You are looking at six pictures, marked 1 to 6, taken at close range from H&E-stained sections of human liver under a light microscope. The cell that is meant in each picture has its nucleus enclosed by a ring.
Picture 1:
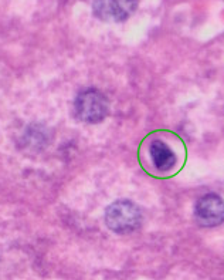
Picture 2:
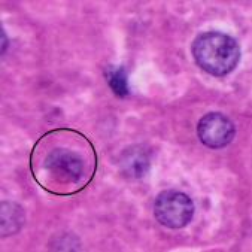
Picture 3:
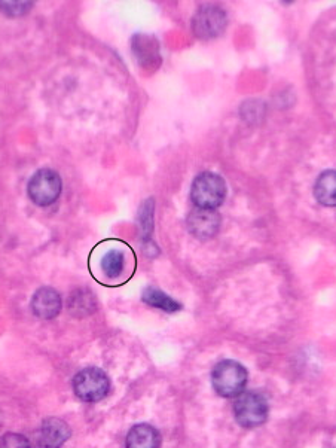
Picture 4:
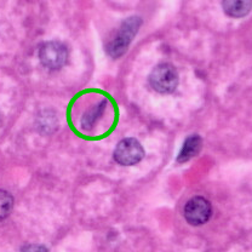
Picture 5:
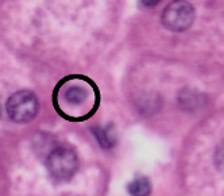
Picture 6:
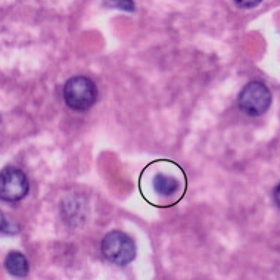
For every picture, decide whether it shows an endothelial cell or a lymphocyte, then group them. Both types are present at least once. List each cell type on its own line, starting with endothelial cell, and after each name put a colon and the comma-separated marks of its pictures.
endothelial cell: 2, 4
lymphocyte: 1, 3, 5, 6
